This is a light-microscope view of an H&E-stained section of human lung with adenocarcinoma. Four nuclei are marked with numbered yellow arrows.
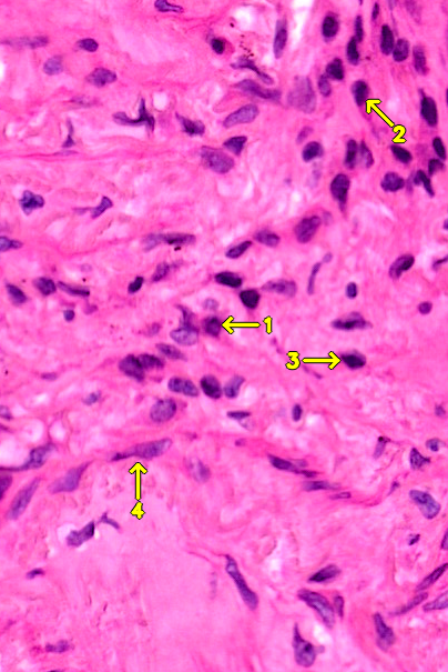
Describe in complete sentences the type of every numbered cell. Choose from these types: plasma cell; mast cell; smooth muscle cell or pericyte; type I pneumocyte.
Cells 1, 2 and 3 are plasma cells. Cell 4 is a smooth muscle cell or pericyte.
